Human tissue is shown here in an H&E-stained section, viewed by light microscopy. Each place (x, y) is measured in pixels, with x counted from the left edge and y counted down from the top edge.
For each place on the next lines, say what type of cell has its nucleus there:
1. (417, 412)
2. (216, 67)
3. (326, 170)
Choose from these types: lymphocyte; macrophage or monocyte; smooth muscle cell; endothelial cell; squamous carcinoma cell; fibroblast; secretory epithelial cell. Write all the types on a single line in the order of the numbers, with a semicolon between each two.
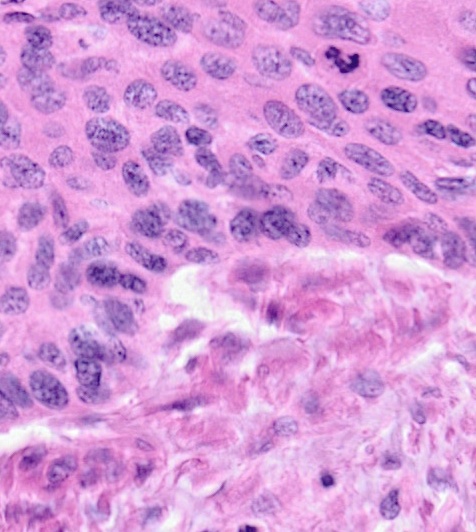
fibroblast; squamous carcinoma cell; squamous carcinoma cell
